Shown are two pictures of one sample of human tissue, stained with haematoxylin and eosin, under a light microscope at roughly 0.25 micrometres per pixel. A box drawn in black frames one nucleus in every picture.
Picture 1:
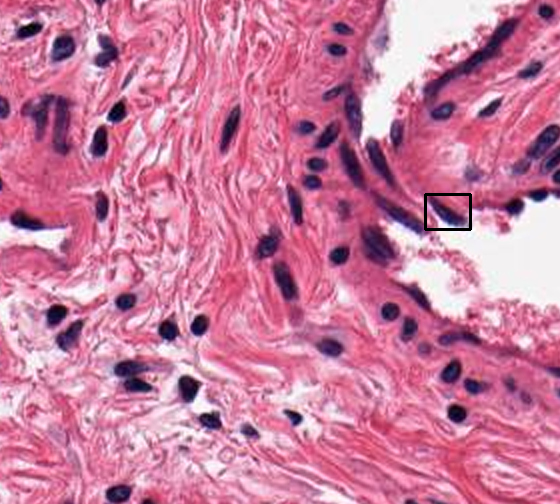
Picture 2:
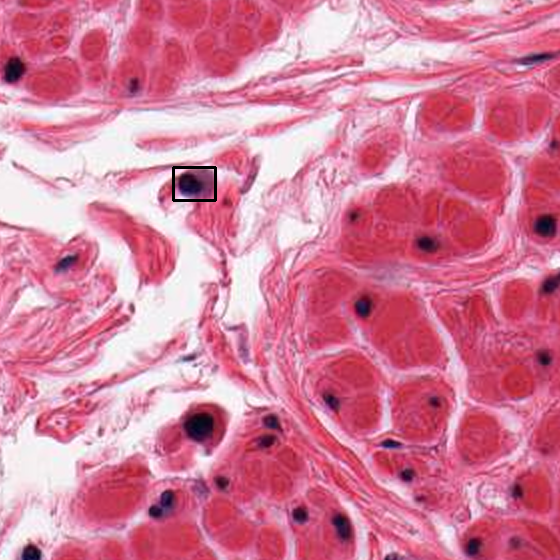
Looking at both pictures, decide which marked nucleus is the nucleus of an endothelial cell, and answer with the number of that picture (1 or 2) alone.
1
